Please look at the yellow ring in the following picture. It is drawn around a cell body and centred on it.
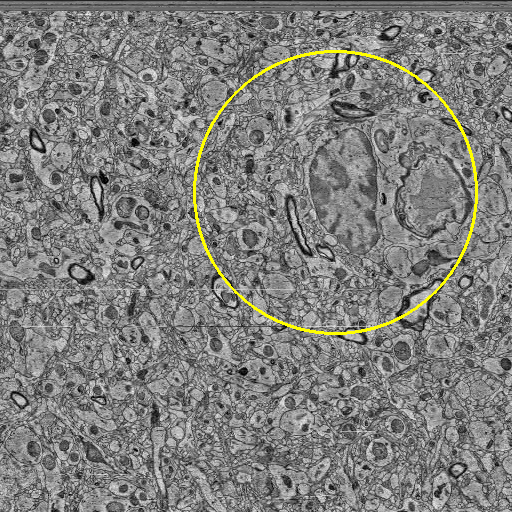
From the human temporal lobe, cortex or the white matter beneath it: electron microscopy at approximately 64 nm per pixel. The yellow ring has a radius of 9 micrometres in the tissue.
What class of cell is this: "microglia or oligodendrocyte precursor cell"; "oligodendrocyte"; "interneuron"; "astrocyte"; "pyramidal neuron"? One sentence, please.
The ring surrounds the cell body of a microglial cell or oligodendrocyte precursor cell.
